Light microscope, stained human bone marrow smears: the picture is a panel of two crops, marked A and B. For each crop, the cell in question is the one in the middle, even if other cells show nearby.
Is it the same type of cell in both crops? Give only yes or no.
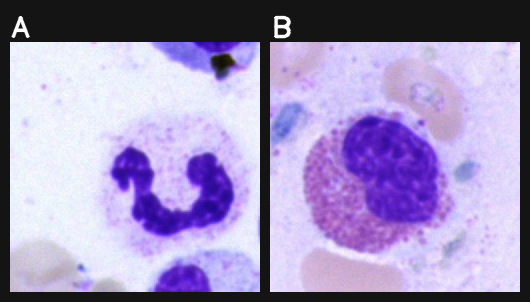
no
